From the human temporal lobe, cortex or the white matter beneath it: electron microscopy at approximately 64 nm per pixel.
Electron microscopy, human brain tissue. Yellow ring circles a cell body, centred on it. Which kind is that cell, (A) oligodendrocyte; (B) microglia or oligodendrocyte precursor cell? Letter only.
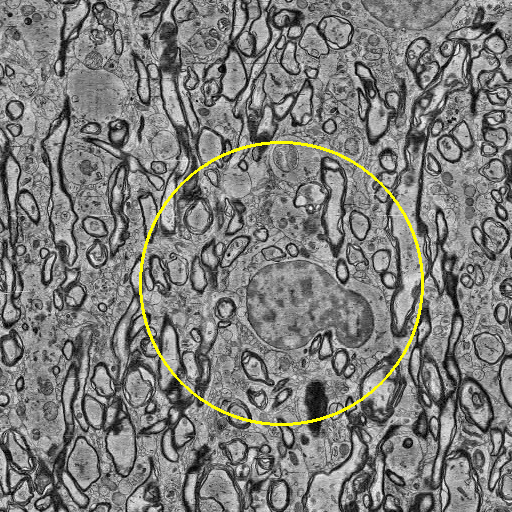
B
